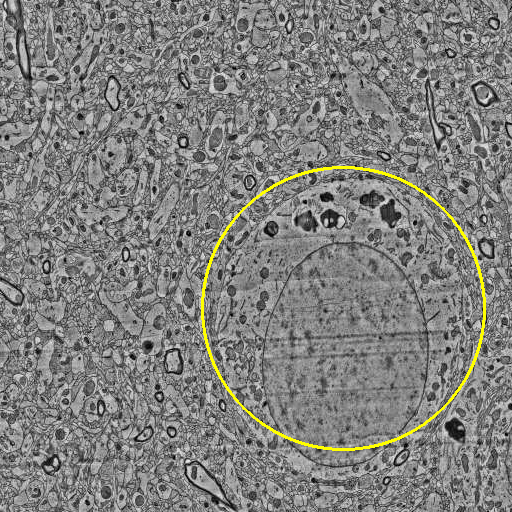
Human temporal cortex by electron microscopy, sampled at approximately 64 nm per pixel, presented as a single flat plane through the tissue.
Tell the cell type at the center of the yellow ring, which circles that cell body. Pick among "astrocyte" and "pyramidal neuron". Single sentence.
The ring is centered on the body of a pyramidal neuron.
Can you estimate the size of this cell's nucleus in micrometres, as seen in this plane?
The nucleus is approximately 14 micrometers long by 11 micrometers wide in this plane.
